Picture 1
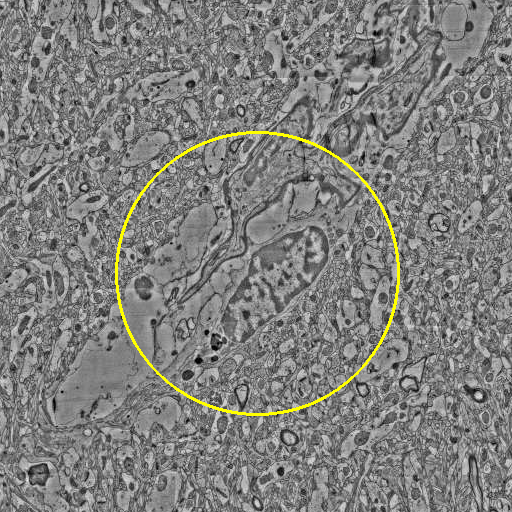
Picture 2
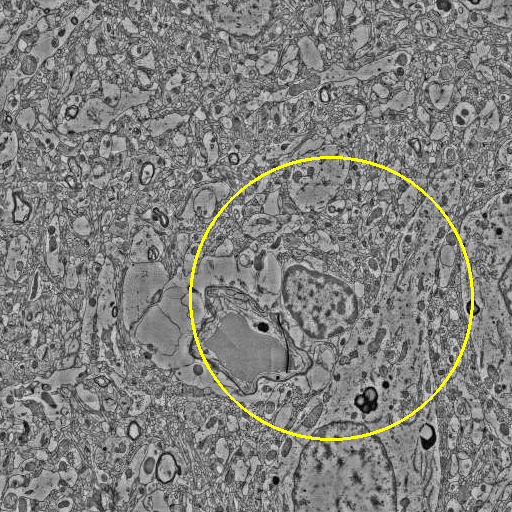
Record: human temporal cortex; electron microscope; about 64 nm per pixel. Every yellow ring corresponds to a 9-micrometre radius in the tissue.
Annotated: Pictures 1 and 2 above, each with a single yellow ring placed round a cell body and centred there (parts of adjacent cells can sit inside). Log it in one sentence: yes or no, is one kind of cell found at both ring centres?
Yes, the ring centres of the two pictures hold cells of one kind.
